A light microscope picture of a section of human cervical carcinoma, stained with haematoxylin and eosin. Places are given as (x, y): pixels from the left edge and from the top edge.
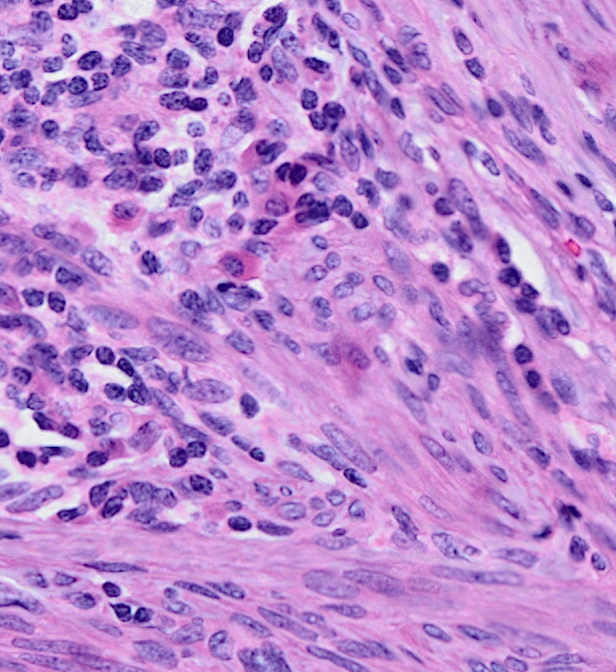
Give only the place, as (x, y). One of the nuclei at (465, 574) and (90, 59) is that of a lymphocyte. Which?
(90, 59)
